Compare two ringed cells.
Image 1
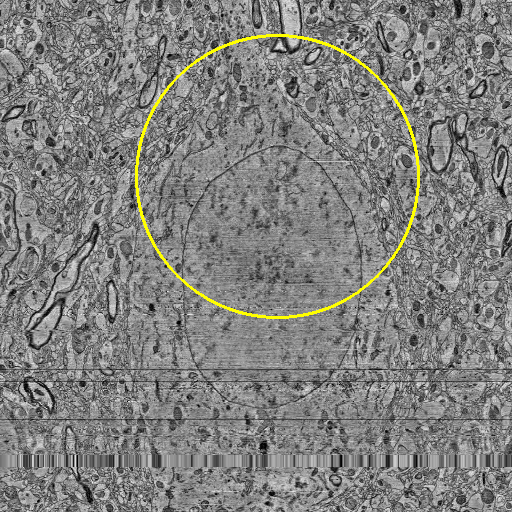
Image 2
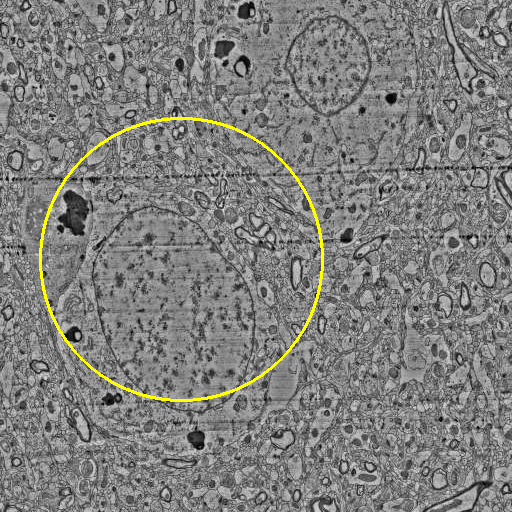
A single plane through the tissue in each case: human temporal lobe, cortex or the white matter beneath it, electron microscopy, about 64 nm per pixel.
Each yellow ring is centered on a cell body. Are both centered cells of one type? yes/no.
yes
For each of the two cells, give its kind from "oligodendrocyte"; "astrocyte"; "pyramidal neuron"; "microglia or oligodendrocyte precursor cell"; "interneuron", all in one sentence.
Each of the two rings is centred on a pyramidal neuron.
